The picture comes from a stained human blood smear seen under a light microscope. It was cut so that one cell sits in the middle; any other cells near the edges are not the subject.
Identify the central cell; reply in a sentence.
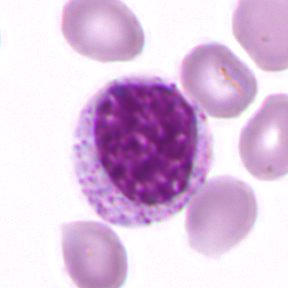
The center cell of this crop is a metamyelocyte.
